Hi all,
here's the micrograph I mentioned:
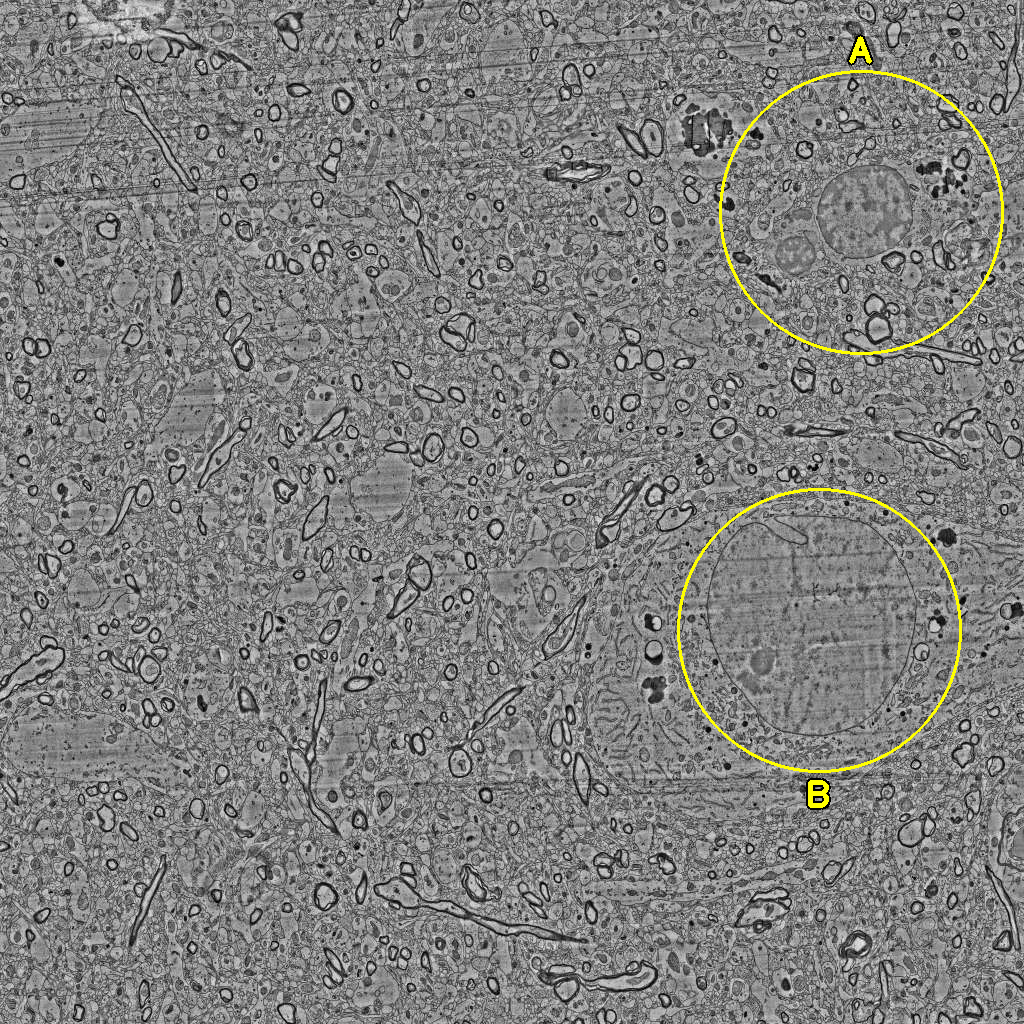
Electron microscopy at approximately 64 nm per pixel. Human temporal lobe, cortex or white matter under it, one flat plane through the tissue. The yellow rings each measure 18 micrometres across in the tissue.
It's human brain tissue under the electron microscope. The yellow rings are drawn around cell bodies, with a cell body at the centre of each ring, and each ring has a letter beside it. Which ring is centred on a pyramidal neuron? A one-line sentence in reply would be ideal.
It's the one labelled B.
